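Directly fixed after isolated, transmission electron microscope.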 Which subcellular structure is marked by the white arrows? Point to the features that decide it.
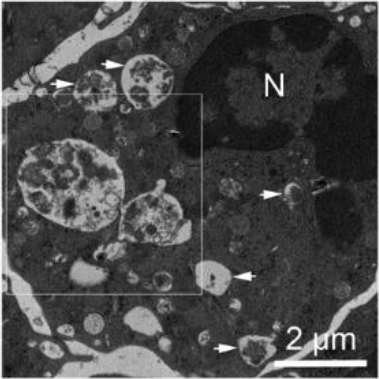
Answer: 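The arrows point to membrane-bound round compartments in the cytoplasm. Several of these compartments contain heterogeneous fragmented material and small membrane whorls.
Hence: autophagic vacuoles.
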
